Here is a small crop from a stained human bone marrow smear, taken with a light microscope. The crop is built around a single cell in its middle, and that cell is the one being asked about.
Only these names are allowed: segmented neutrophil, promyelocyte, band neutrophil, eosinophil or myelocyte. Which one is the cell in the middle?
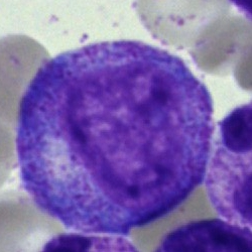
promyelocyte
